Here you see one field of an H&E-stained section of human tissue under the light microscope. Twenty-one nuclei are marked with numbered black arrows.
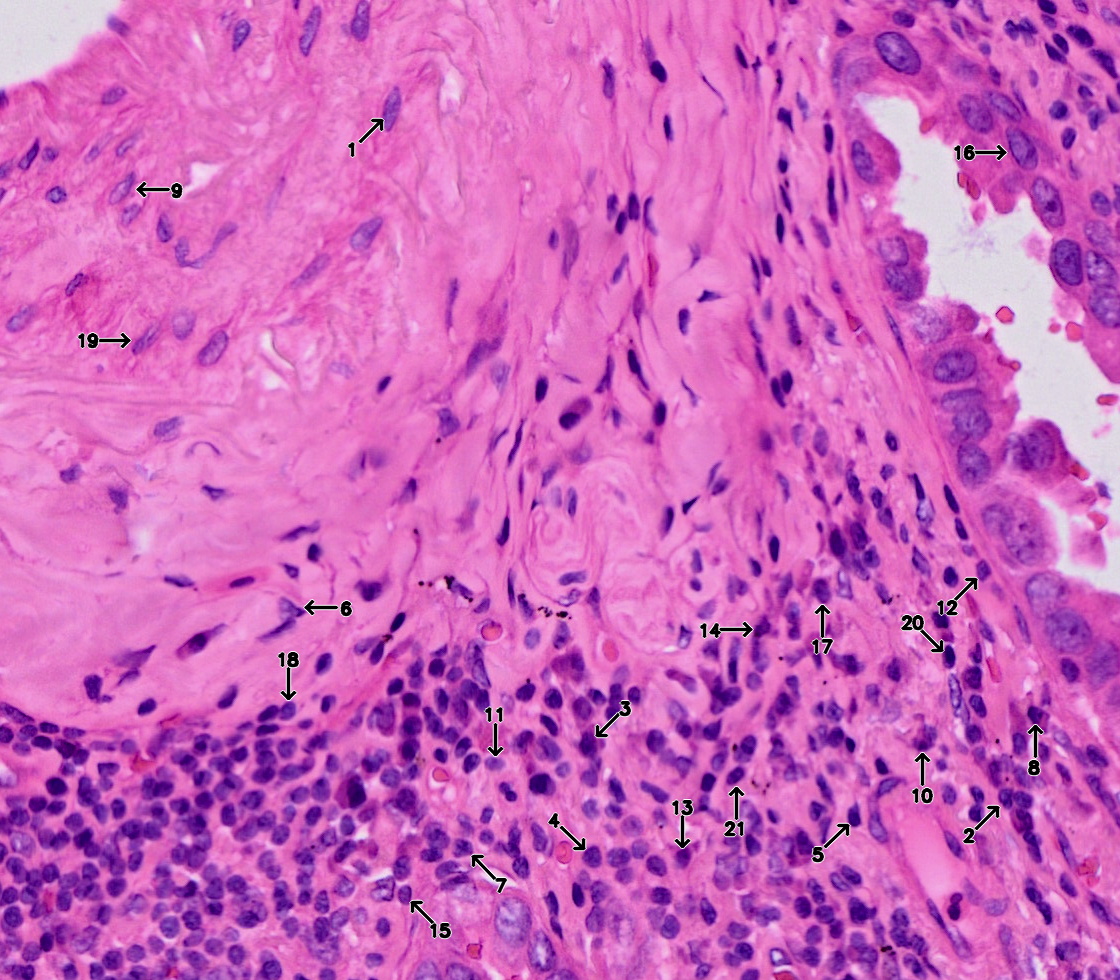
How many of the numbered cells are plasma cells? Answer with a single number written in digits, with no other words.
6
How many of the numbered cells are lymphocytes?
10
